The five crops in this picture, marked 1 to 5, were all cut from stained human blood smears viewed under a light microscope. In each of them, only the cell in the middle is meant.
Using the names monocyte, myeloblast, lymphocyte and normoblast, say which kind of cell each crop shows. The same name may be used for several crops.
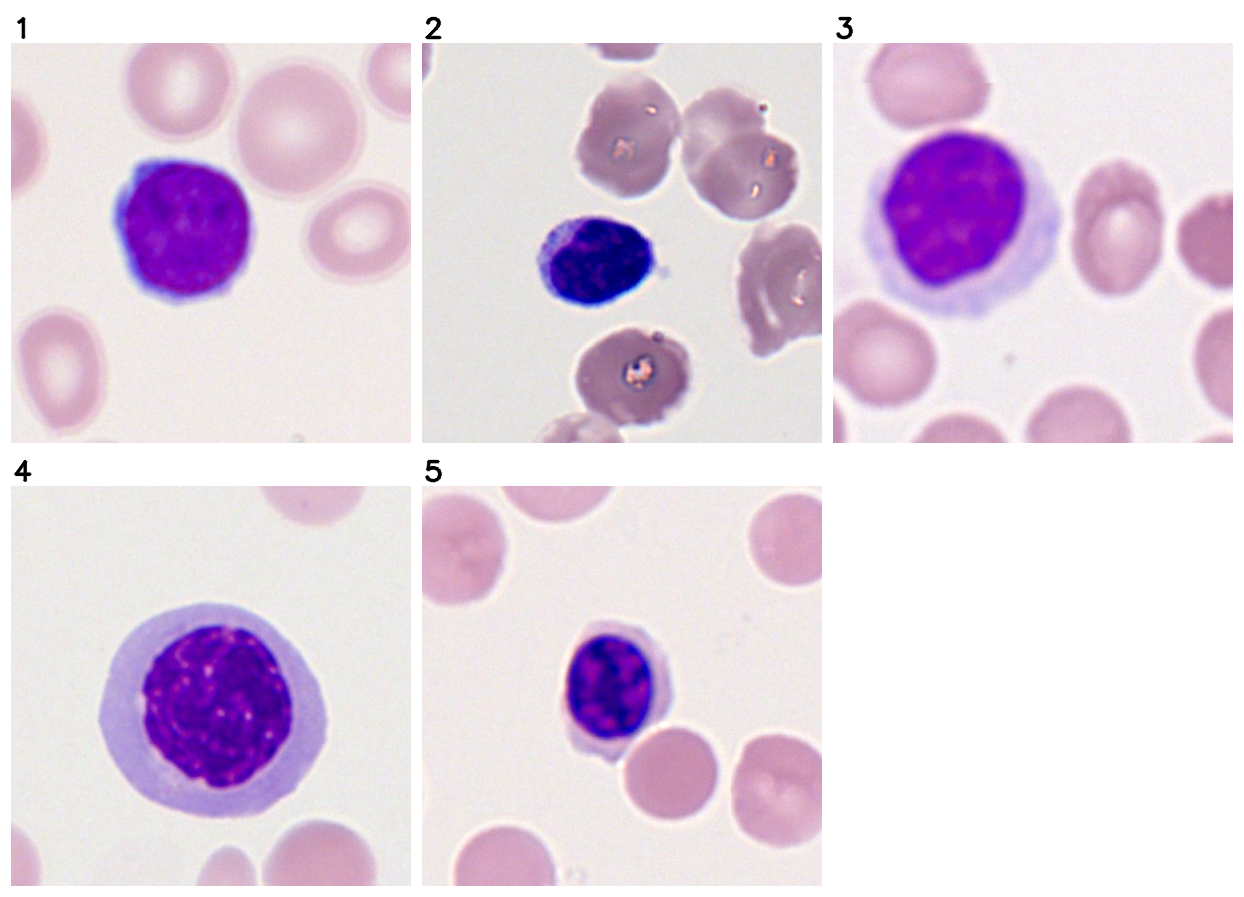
1: lymphocyte
2: lymphocyte
3: lymphocyte
4: normoblast
5: normoblast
